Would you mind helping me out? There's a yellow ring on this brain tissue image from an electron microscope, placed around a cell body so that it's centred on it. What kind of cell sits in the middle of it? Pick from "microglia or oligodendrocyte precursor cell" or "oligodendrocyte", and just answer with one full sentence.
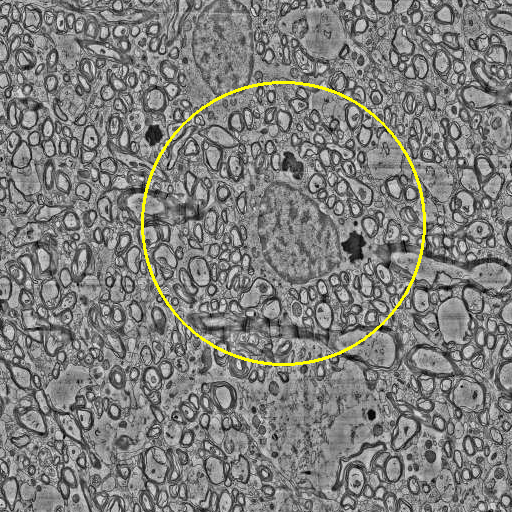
What sits in the middle of that yellow ring is an oligodendrocyte, from your choices.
